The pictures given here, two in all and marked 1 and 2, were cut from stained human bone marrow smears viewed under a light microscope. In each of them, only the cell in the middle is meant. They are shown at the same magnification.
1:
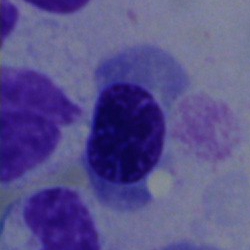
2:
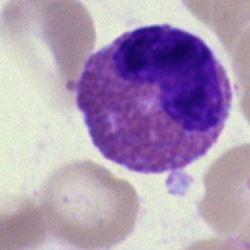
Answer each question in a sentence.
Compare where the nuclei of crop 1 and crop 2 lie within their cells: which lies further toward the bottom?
In crop 1 the nucleus is shifted more toward the bottom.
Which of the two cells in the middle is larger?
It is the cell in crop 2, about 1.5 times as large in area as the cell in crop 1.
